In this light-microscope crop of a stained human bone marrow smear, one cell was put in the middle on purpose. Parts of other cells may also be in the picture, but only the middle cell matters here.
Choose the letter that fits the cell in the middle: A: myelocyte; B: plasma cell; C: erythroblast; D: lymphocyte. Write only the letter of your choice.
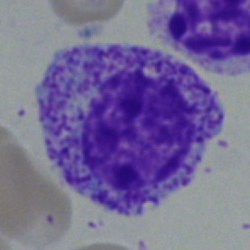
A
